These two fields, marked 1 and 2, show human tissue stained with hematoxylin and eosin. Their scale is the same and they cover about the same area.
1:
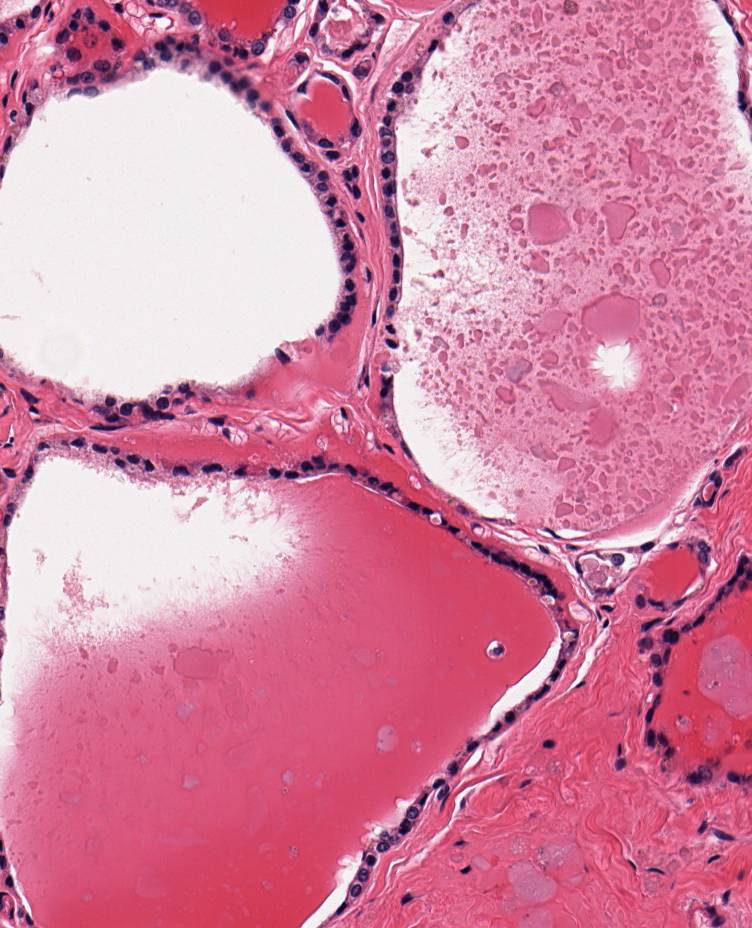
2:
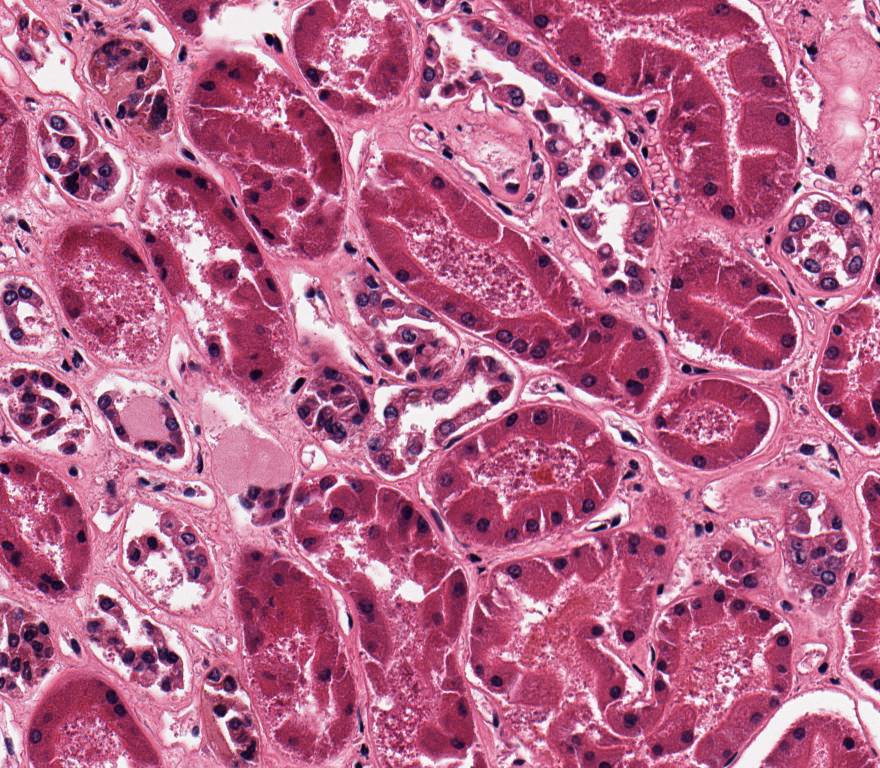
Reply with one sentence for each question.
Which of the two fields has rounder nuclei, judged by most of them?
On the whole the nuclei of field 2 are rounder than those of field 1.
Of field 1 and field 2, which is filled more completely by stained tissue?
Less of field 2 is empty and white.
